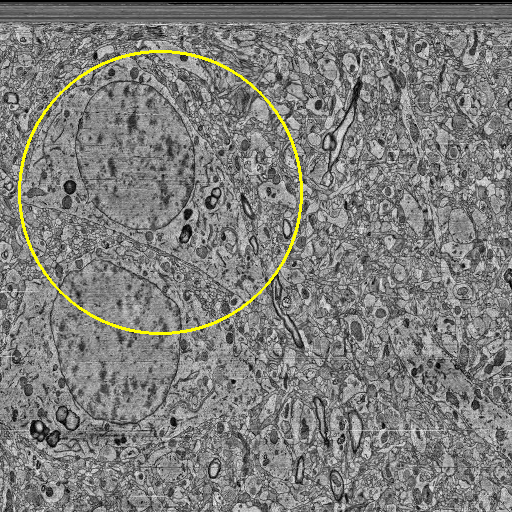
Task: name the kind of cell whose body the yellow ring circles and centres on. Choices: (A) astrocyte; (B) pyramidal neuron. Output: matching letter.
B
